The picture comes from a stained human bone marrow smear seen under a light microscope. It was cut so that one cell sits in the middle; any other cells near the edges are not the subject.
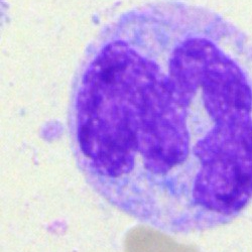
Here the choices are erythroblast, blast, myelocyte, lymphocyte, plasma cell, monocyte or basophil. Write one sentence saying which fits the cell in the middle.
This crop has a monocyte at its centre.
